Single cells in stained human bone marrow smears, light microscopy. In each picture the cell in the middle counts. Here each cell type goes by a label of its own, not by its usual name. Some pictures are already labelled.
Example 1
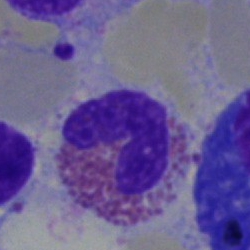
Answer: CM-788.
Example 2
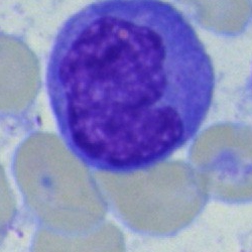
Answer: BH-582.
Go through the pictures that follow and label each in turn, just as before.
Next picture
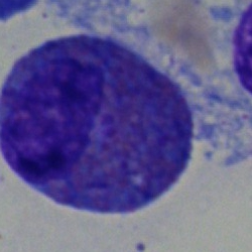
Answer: CM-788.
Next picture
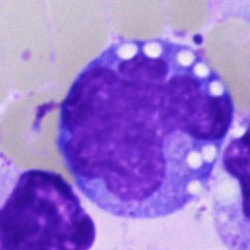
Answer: BH-582.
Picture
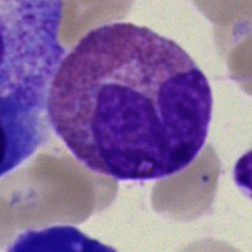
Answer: CM-788.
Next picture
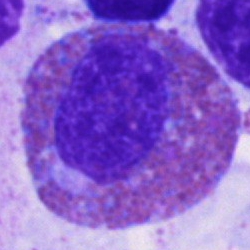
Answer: CM-788.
